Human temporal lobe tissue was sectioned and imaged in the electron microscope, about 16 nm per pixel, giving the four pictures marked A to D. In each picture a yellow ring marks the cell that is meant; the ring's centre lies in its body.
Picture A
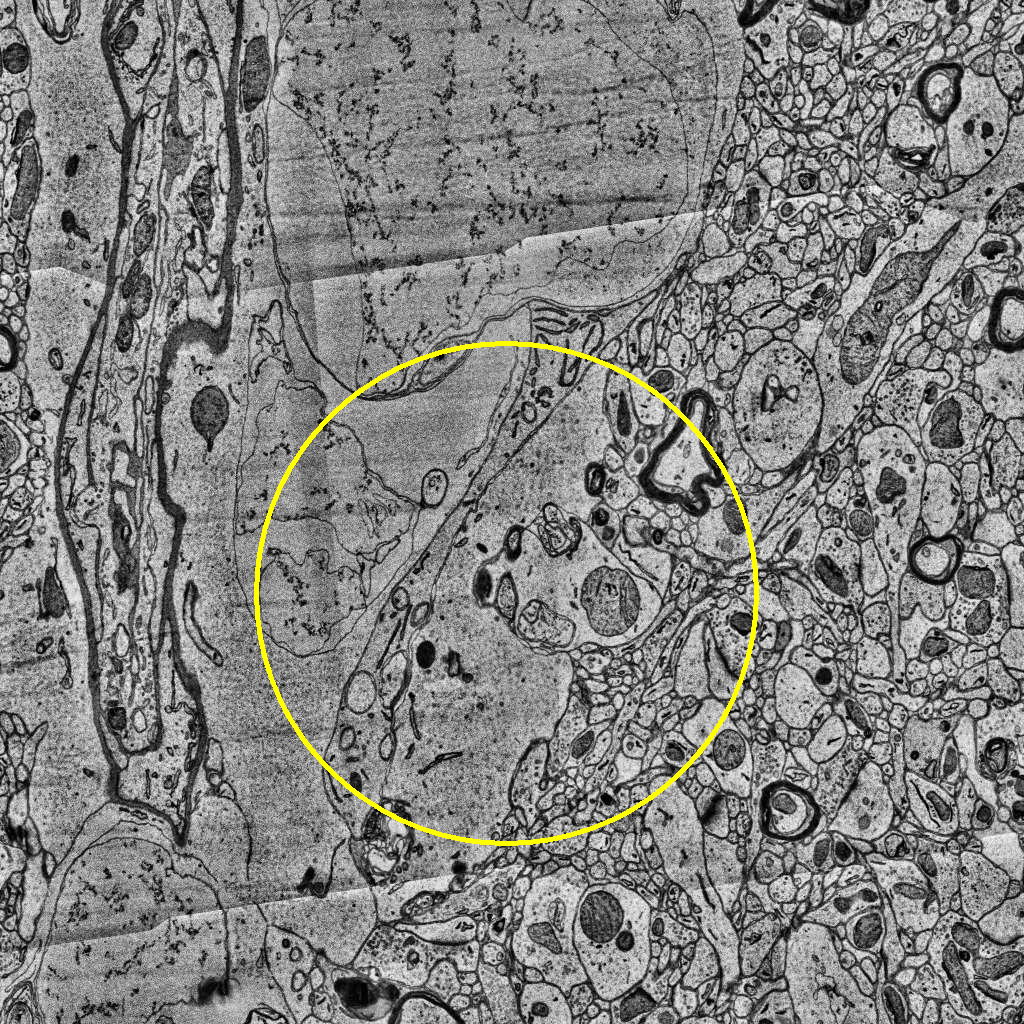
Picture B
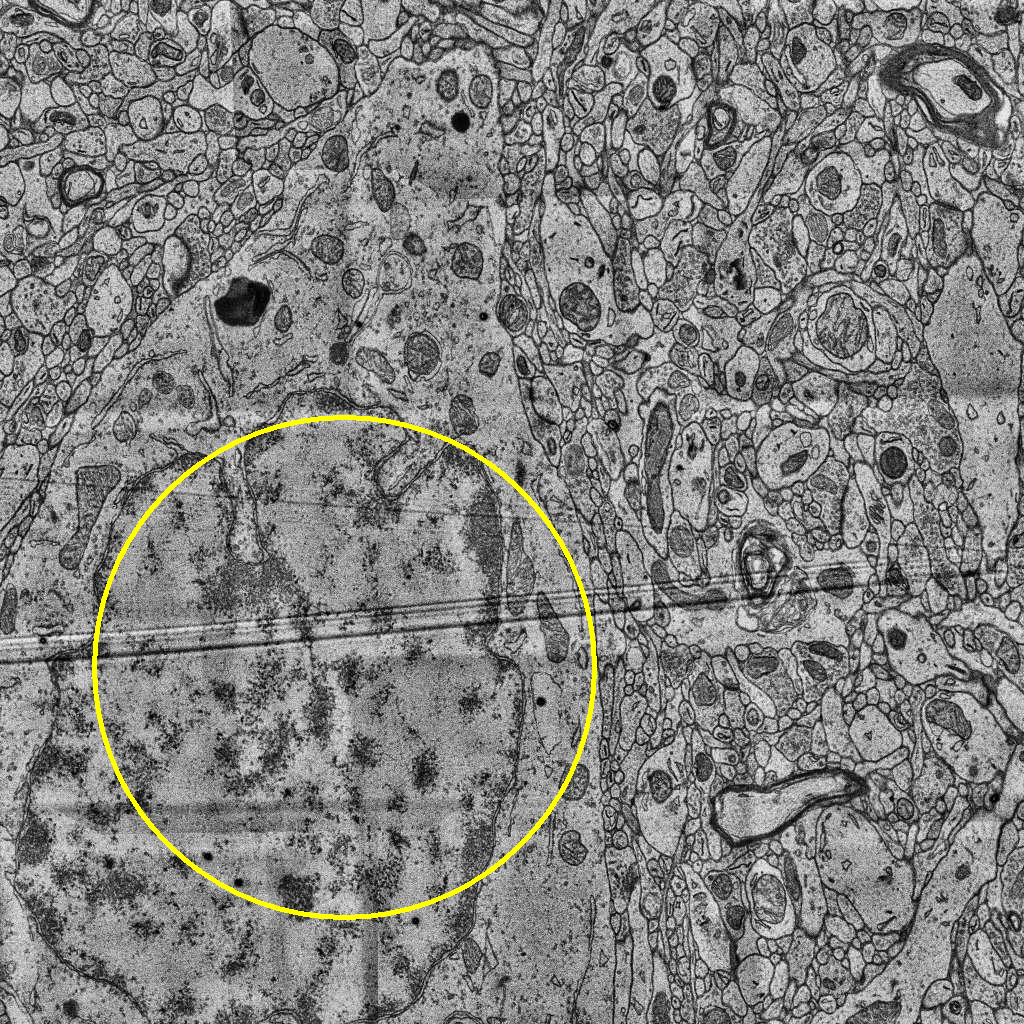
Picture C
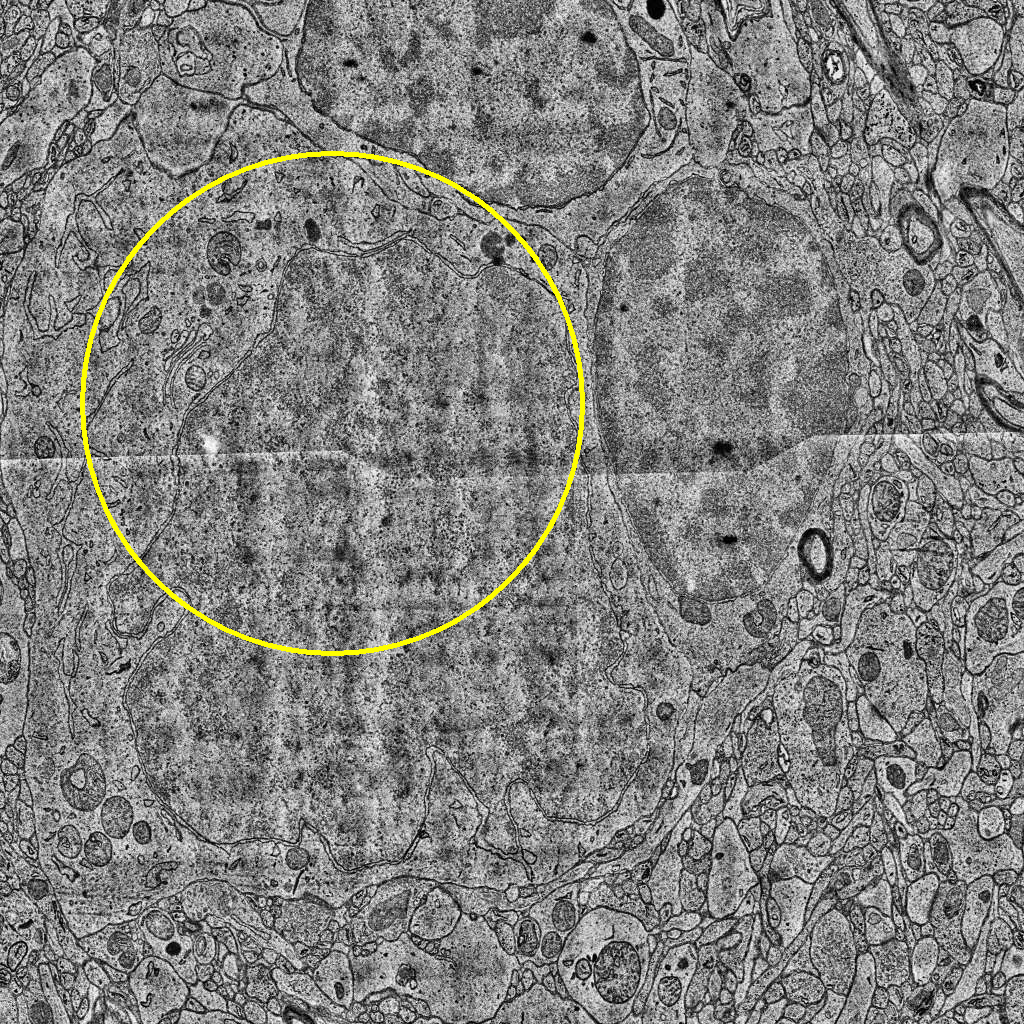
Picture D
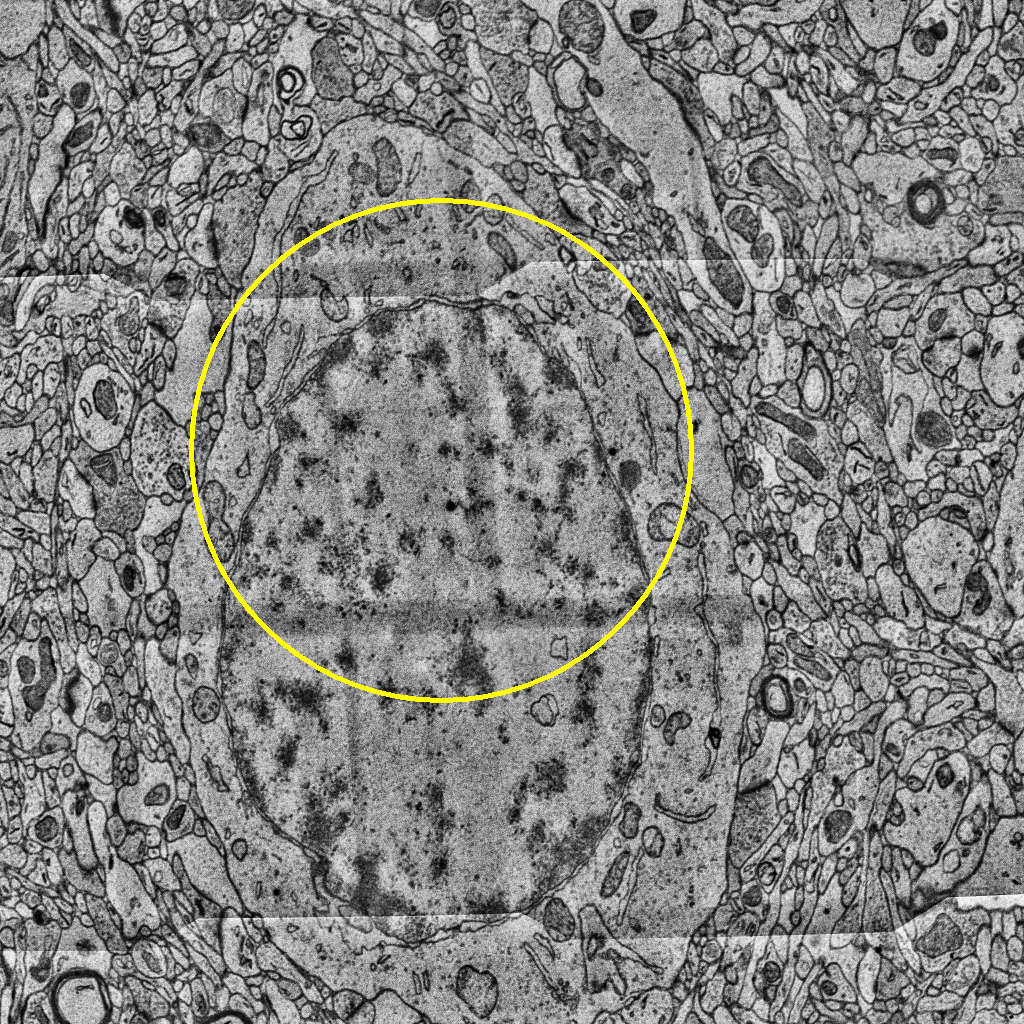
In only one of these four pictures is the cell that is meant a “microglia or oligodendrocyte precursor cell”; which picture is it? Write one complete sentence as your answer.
The cell in picture A is the “microglia or oligodendrocyte precursor cell”.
